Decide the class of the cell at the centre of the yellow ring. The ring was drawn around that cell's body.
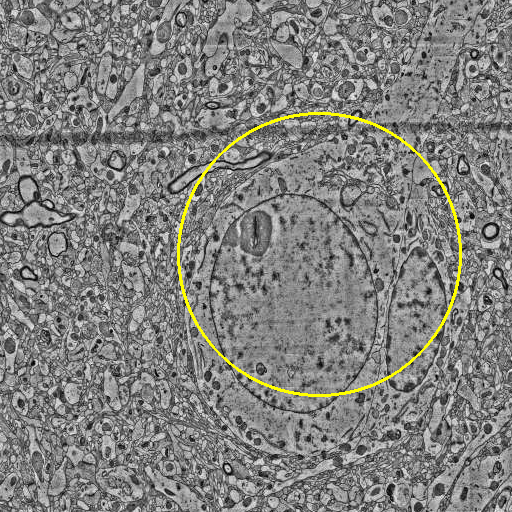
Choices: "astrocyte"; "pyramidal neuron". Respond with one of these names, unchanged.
pyramidal neuron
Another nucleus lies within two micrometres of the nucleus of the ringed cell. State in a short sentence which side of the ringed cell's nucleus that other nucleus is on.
The second nucleus lies to the right of it.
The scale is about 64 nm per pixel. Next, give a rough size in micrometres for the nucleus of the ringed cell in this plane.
Roughly 14 by 11 micrometres in this plane, for the nucleus of the ringed cell.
